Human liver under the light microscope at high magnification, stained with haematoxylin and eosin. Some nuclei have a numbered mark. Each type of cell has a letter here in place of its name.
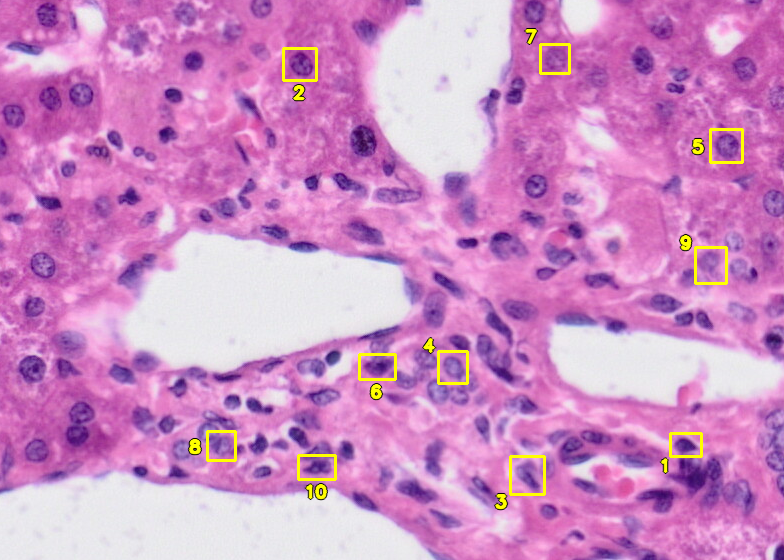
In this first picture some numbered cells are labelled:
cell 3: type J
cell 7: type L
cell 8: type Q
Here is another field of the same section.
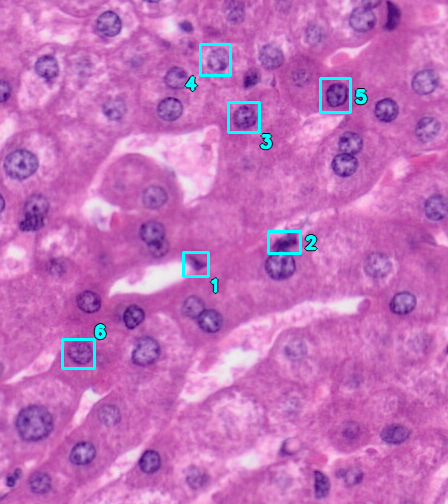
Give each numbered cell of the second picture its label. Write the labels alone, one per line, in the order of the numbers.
type J
type J
type L
type L
type L
type L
